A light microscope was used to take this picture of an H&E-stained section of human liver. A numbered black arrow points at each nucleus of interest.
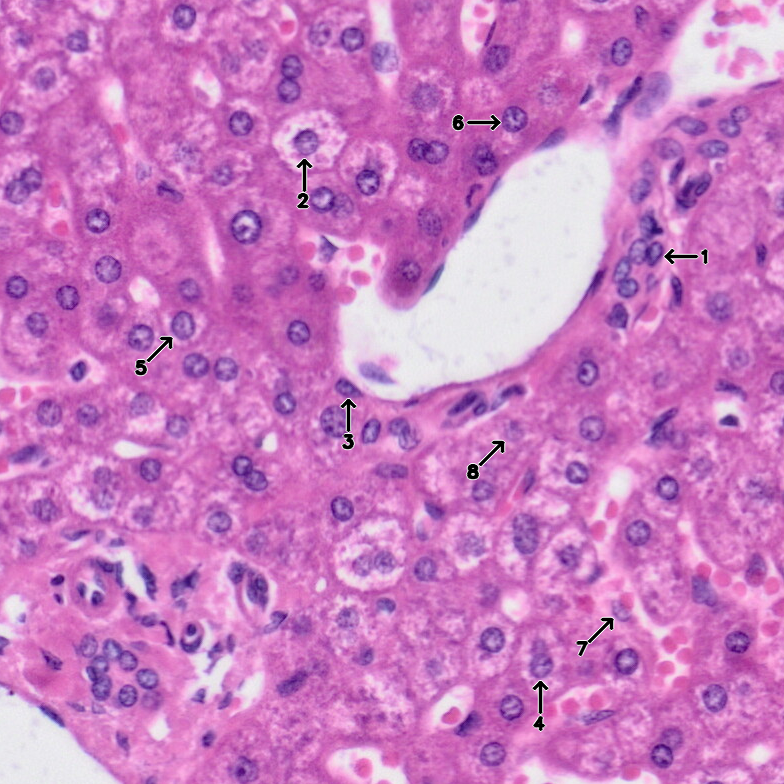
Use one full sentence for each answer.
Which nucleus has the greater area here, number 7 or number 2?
The larger nucleus is 2, at roughly 1.5 times the area of 7.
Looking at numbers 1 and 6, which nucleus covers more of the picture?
It is nucleus 6, which covers about 2 times the area of nucleus 1.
